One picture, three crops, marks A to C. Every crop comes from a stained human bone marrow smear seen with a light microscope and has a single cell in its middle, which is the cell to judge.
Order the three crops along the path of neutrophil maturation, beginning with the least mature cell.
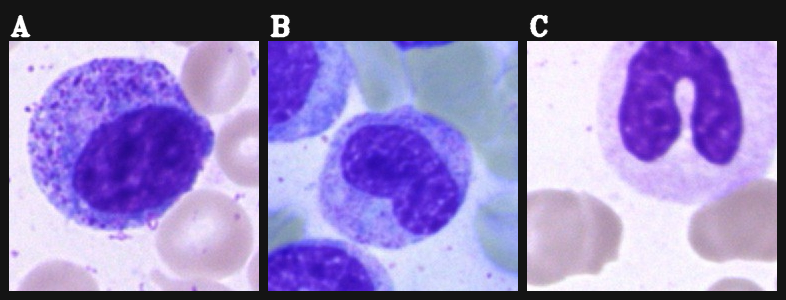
A, B, C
